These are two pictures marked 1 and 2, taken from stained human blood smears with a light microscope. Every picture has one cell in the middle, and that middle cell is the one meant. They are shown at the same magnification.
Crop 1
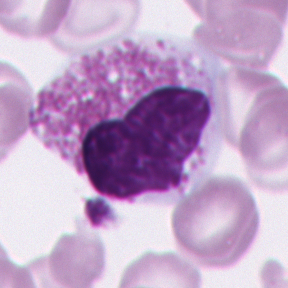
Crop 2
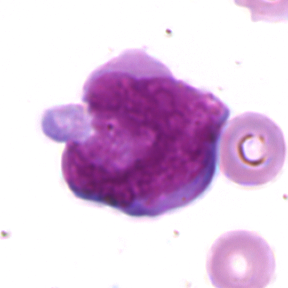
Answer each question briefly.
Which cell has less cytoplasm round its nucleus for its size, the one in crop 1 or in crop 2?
2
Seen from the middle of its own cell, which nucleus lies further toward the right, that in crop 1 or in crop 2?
1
